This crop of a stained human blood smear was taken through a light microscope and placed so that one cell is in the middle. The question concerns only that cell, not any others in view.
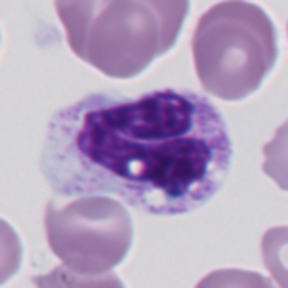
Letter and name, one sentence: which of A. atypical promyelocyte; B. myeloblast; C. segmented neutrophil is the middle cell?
Option C stands as correct, the central cell being a segmented neutrophil.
